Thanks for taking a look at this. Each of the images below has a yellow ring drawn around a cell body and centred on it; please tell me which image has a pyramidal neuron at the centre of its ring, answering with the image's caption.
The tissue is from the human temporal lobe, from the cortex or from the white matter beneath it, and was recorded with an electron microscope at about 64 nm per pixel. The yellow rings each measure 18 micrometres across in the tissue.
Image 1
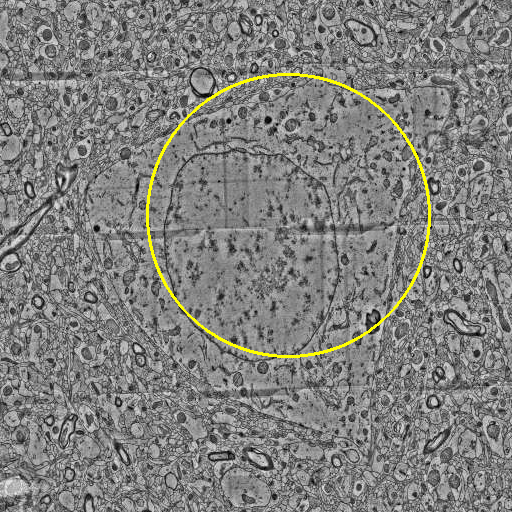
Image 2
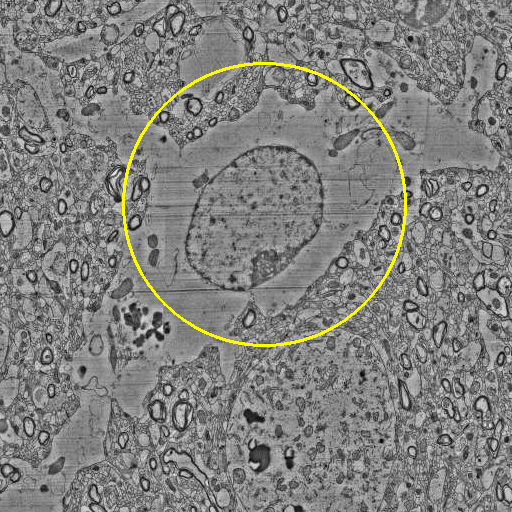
Image 1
